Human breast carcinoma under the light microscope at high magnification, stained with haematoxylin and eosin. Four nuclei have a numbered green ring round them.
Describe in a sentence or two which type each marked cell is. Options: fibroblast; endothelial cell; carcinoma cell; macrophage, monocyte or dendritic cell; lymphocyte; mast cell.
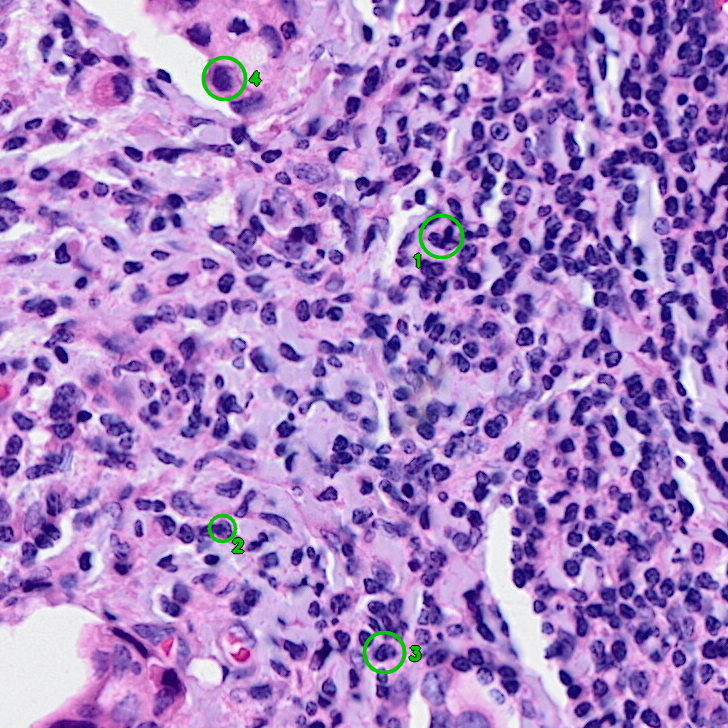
Cells 1, 2 and 3 are lymphocytes. Cell 4 is a carcinoma cell.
